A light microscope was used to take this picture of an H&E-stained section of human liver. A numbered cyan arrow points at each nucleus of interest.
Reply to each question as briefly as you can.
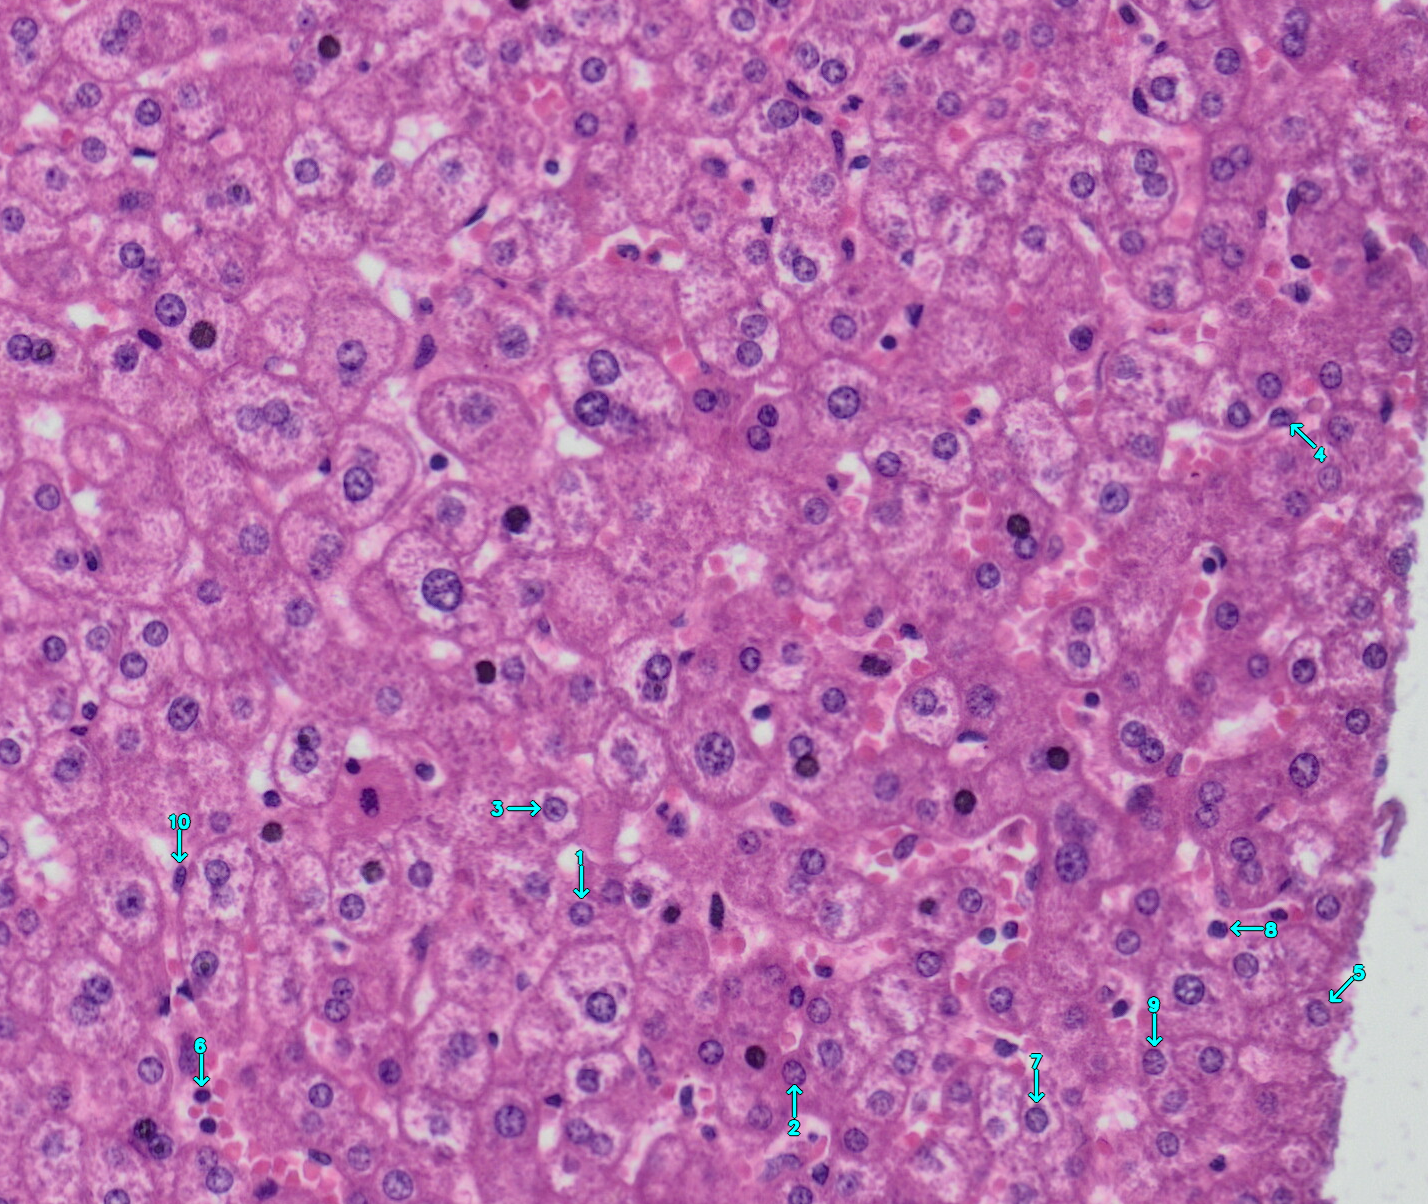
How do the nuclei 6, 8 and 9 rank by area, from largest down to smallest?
9, 8, 6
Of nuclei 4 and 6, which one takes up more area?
4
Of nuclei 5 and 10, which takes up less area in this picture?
10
